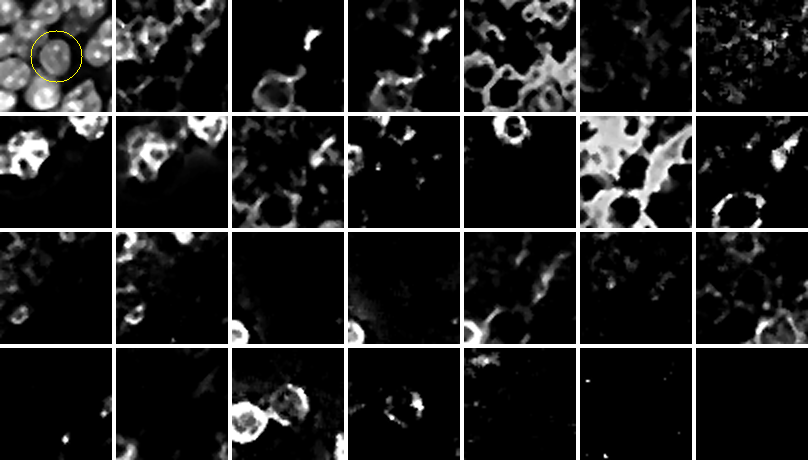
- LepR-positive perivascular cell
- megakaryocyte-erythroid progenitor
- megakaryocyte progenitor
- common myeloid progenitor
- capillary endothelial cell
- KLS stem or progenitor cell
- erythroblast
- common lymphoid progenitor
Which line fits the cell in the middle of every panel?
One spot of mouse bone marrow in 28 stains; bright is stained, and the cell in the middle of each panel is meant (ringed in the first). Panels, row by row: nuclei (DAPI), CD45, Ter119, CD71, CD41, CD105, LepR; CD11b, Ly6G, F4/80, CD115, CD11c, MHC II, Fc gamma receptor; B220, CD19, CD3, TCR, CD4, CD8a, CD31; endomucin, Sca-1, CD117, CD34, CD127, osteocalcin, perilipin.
common myeloid progenitor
